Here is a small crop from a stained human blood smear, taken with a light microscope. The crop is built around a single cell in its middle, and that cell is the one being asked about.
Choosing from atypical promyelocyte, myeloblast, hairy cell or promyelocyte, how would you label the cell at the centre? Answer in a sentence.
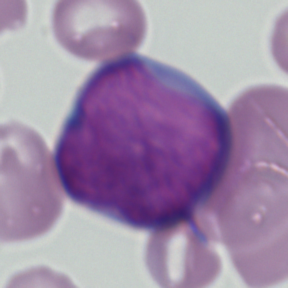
The cell of interest, in the center, is a myeloblast.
